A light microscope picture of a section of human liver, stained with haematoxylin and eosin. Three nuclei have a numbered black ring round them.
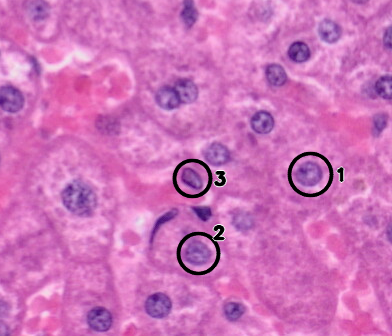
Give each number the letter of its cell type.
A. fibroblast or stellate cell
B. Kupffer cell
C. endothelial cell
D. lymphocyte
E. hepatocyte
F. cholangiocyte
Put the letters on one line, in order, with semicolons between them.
E; E; B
